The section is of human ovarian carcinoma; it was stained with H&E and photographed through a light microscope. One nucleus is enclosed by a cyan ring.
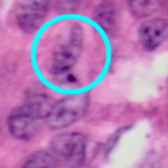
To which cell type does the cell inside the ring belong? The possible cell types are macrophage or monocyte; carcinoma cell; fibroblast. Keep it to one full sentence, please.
In the tissue at hand, the cell inside the ring is a macrophage or monocyte.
